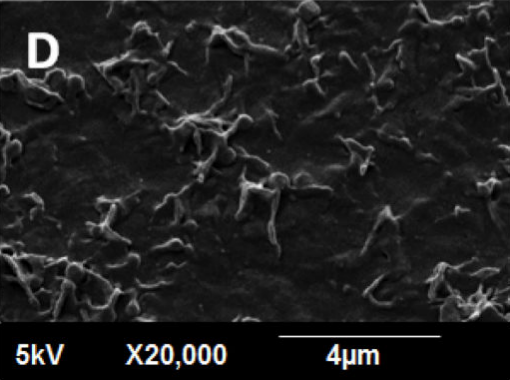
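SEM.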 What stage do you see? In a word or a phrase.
dendritic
